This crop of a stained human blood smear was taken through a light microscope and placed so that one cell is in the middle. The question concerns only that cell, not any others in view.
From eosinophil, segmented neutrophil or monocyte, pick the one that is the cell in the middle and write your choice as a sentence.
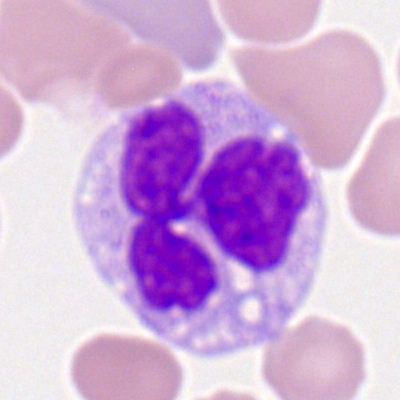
The middle position in this crop is taken by a monocyte.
